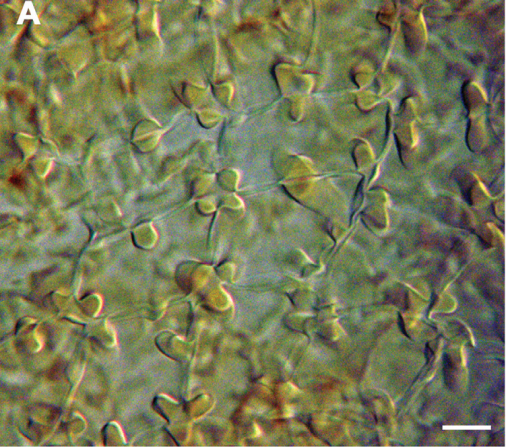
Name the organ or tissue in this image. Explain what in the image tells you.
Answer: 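A single sheet of polygonal cells with thin outlines. Thickened, refractile nodes along the cell walls. On this evidence: Epidermal layer.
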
